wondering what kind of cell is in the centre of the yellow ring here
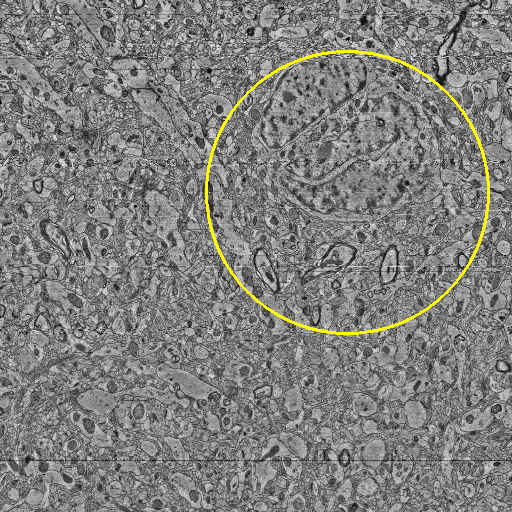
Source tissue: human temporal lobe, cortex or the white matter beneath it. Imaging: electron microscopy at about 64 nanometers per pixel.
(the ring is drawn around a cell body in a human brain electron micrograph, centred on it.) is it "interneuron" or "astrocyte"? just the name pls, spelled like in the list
interneuron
